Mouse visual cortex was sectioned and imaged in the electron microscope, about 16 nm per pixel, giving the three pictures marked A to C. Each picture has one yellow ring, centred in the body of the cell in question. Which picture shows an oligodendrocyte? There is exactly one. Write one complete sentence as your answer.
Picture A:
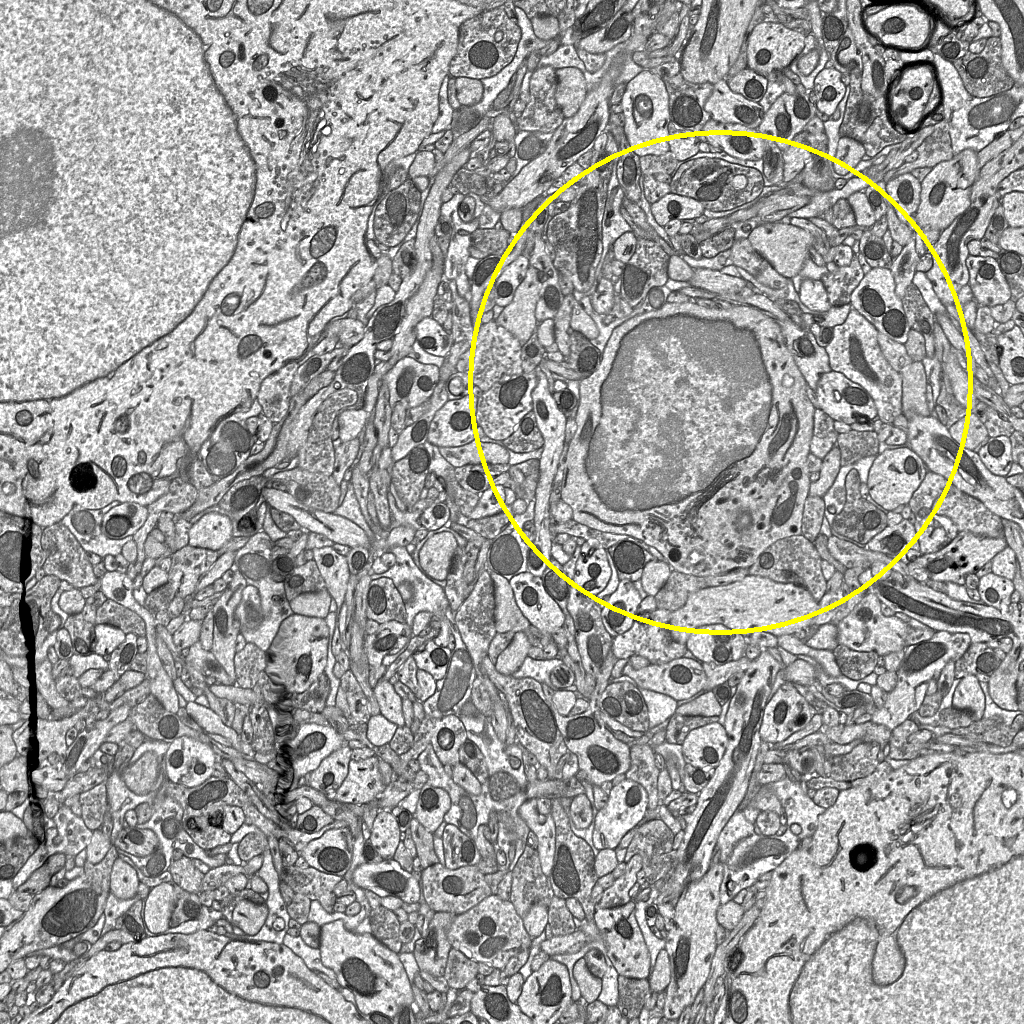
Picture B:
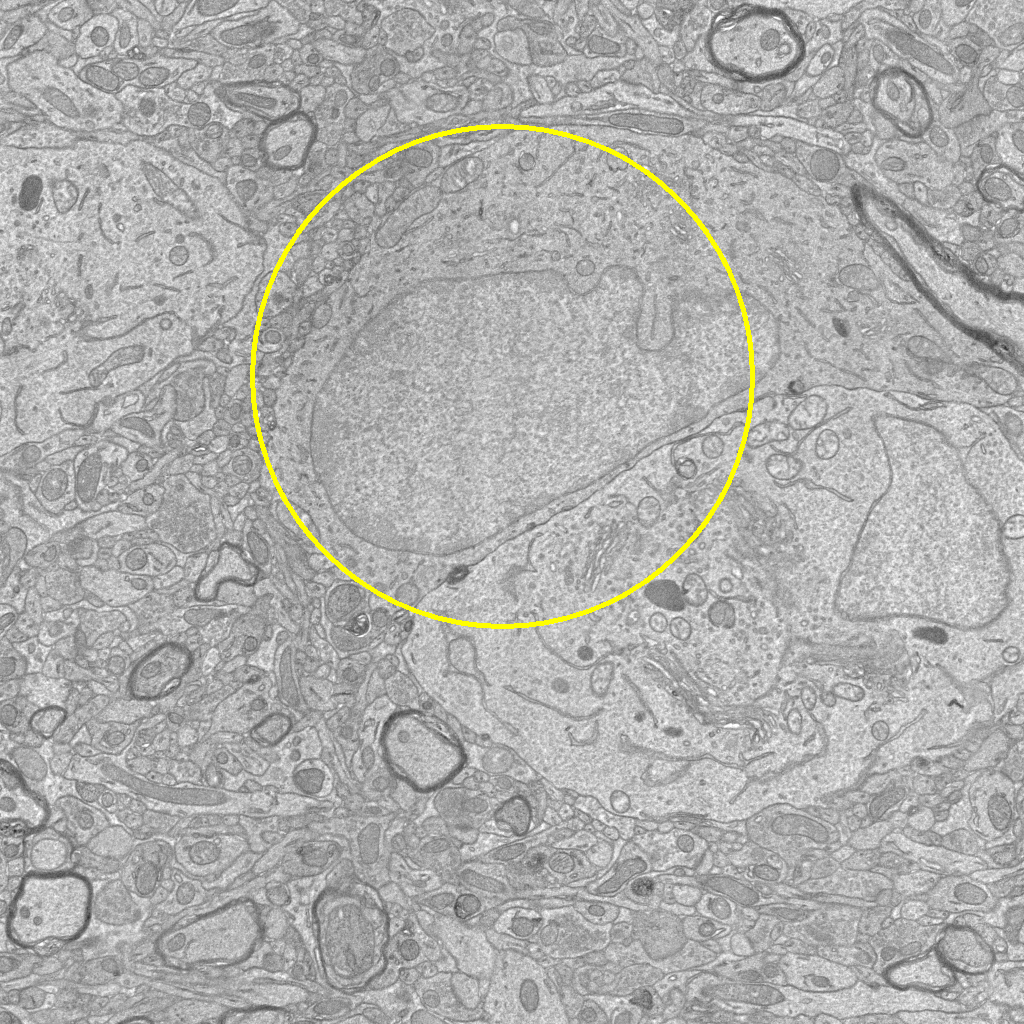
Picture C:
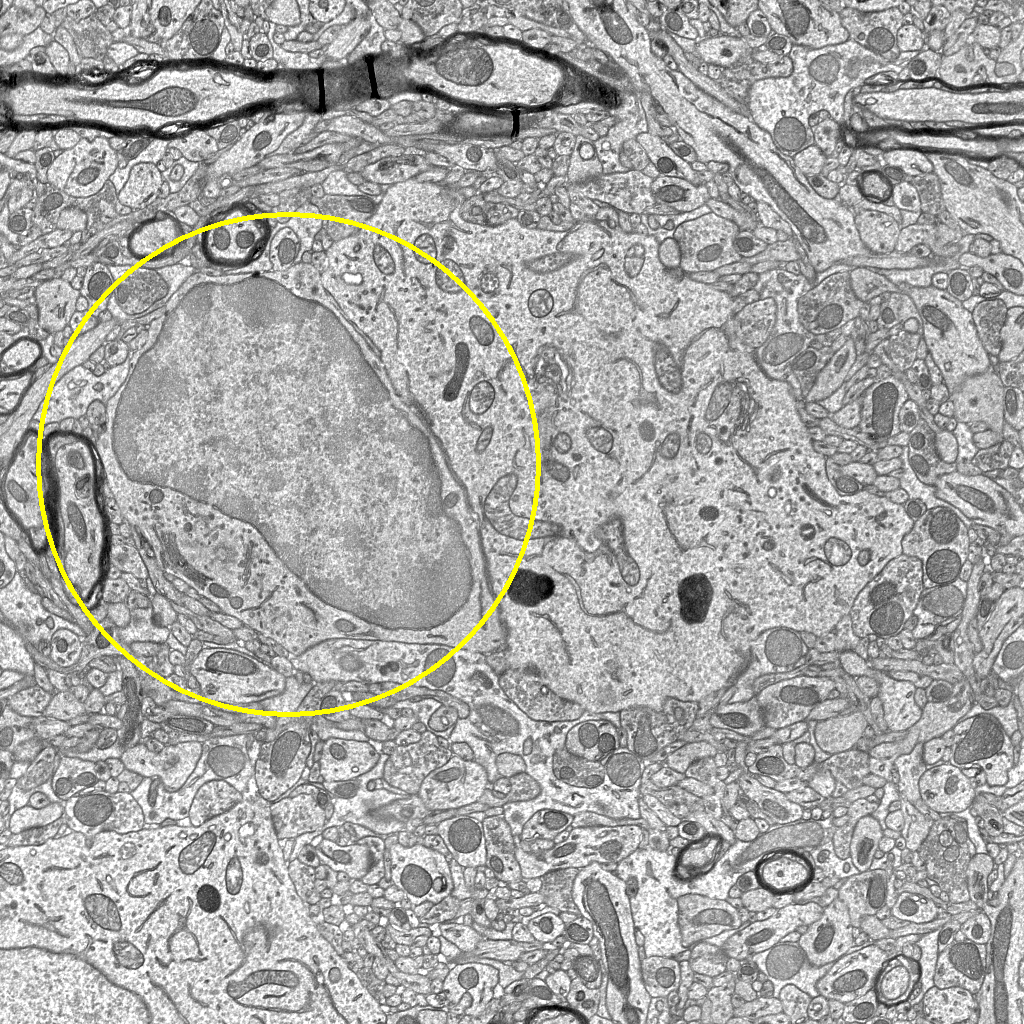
It is picture B that shows the oligodendrocyte.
